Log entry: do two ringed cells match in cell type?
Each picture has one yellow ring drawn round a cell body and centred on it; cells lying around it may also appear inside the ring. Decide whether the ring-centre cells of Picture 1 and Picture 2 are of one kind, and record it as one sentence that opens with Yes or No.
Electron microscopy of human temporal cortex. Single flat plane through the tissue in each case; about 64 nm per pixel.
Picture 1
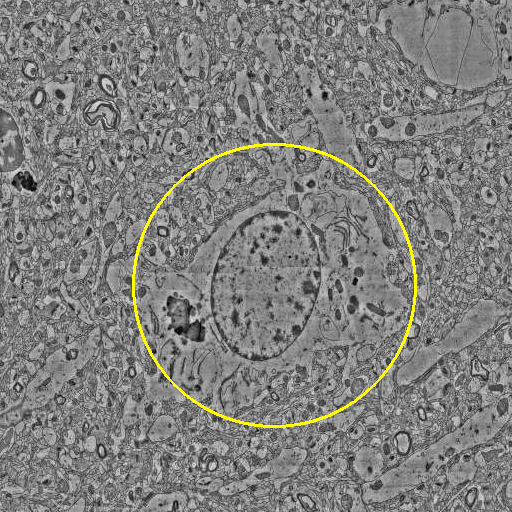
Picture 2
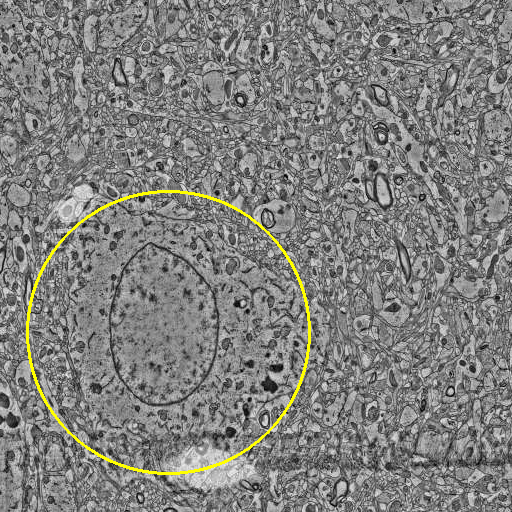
No, the cells at the ring centres of the two pictures belong to two kinds.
